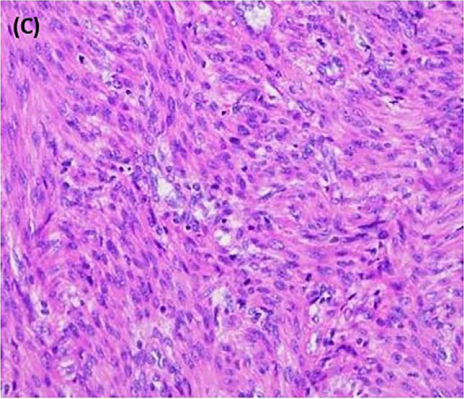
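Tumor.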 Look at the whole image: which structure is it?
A: intersecting and focal herringbone patterns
